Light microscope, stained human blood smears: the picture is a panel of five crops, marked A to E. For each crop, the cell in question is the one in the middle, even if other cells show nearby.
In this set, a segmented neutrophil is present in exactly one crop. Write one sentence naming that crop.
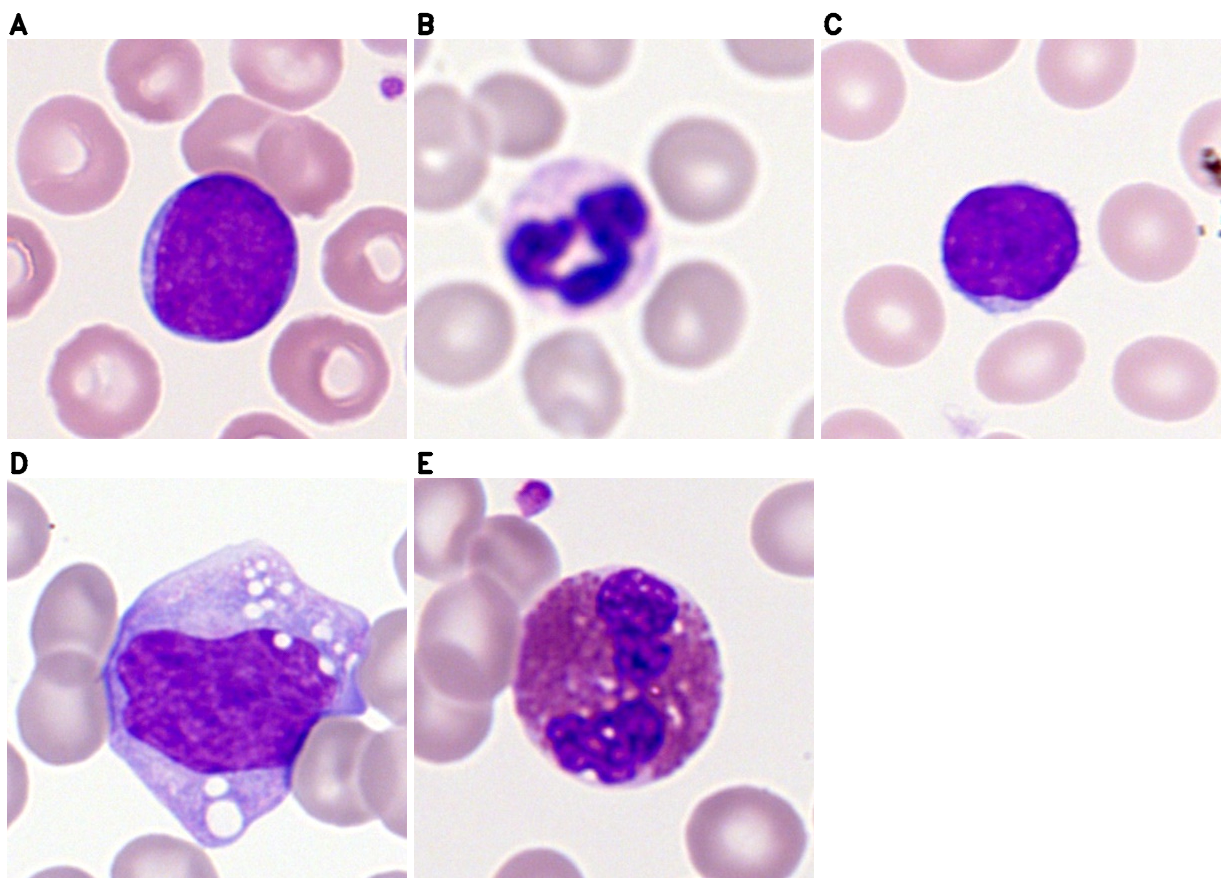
The crop with a segmented neutrophil in it is crop B.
